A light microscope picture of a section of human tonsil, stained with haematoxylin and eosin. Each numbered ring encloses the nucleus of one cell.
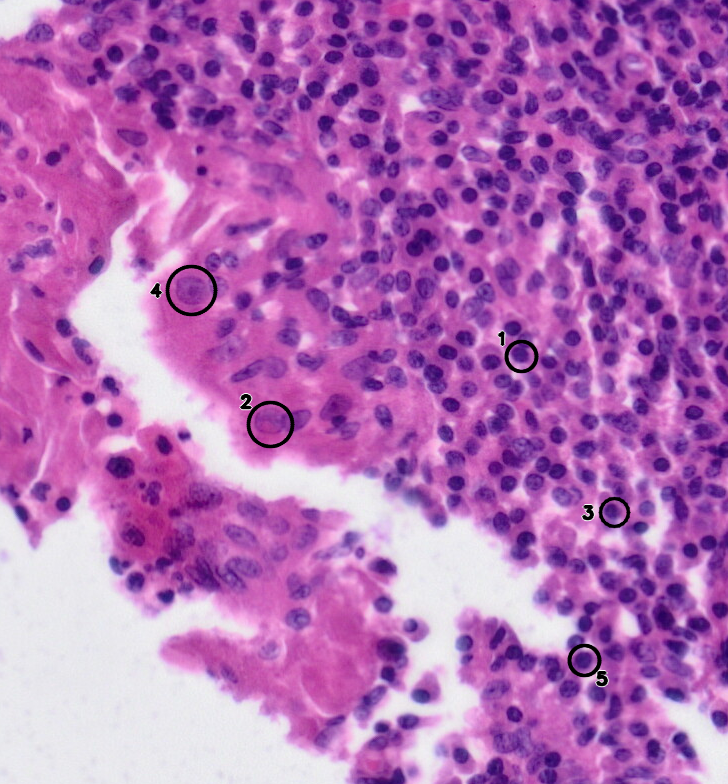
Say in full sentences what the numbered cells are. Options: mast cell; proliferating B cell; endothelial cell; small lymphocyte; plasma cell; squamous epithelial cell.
Cell 1 is a plasma cell, cell 2 is a squamous epithelial cell, cell 3 is a plasma cell, cell 4 is a squamous epithelial cell and cell 5 is a plasma cell.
